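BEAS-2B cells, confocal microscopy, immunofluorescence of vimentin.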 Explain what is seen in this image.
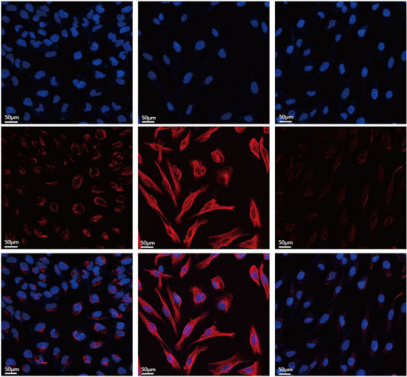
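A grid of nine fluorescence images shows cultured cells in three columns: a top row of blue nuclei only, a middle row of red cytoplasmic staining, and a bottom row merging both. The nuclei are oval to round, evenly stained and scattered as single cells rather than forming a continuous sheet. In the left column the red staining is faint and mostly limited to small rims around the nuclei of densely packed cells. In the middle column the red staining is strong and fills long, spindle-shaped and elongated cell bodies with extended processes. In the right column the red staining is again weak and diffuse around more sparsely spaced nuclei.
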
